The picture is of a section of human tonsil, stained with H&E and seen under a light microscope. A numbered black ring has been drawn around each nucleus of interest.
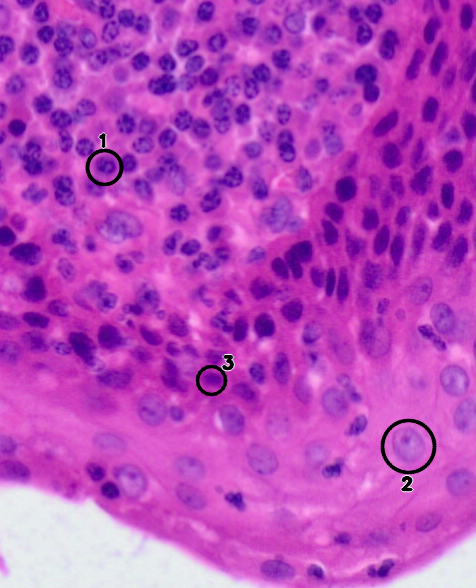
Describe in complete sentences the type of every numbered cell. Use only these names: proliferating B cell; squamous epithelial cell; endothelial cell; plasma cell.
Cell 1 is a plasma cell, cell 2 is a squamous epithelial cell and cell 3 is a squamous epithelial cell.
